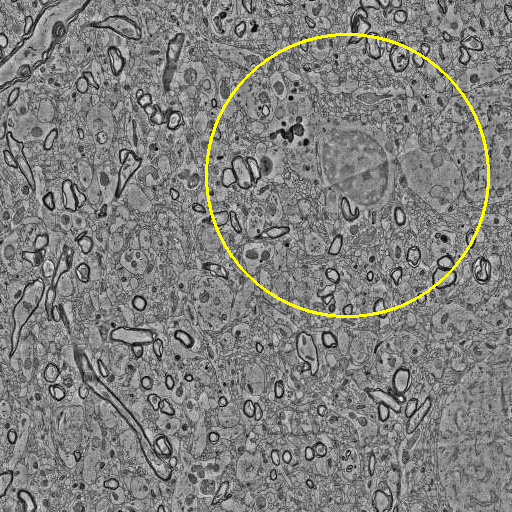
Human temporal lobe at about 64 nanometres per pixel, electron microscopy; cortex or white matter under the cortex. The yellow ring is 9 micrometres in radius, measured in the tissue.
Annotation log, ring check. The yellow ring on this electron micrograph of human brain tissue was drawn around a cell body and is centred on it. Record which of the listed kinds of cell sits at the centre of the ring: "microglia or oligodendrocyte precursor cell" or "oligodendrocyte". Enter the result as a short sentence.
The cell at the centre of the ring is an oligodendrocyte.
